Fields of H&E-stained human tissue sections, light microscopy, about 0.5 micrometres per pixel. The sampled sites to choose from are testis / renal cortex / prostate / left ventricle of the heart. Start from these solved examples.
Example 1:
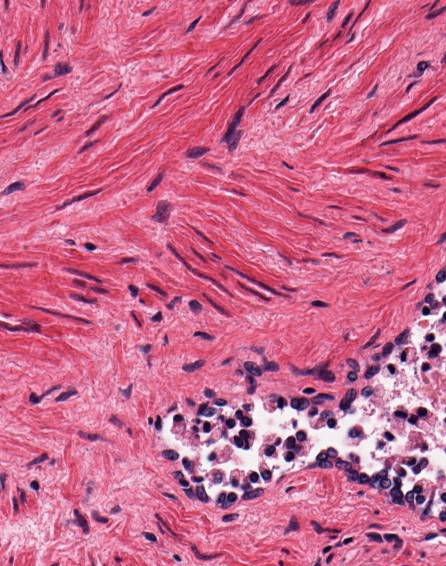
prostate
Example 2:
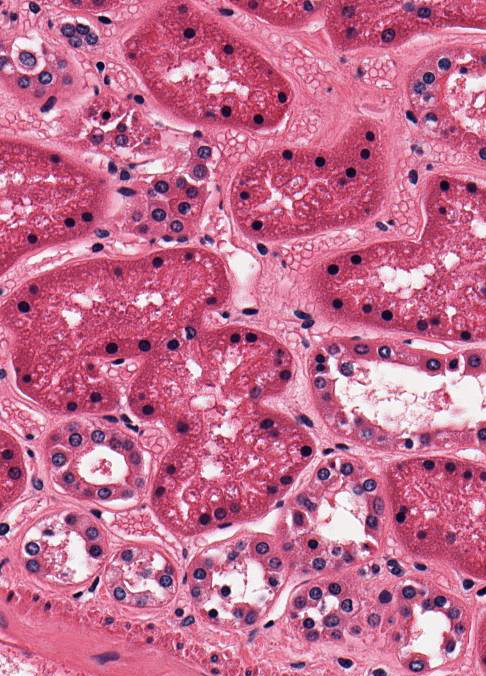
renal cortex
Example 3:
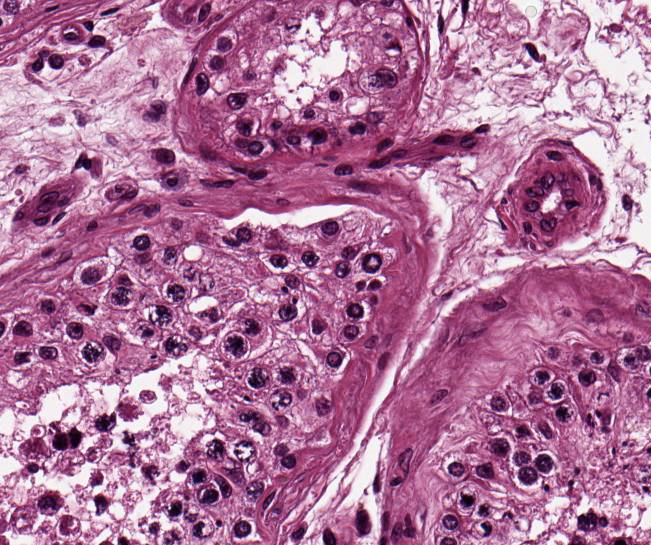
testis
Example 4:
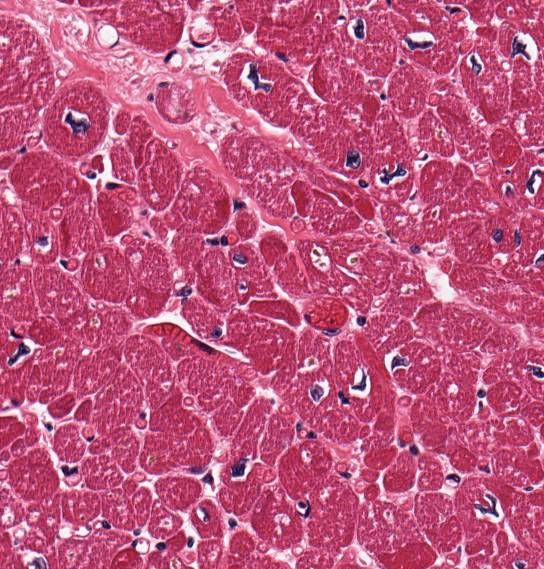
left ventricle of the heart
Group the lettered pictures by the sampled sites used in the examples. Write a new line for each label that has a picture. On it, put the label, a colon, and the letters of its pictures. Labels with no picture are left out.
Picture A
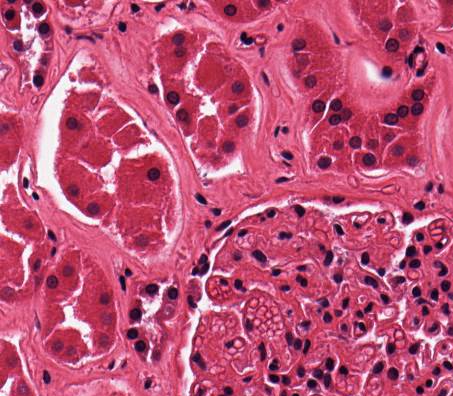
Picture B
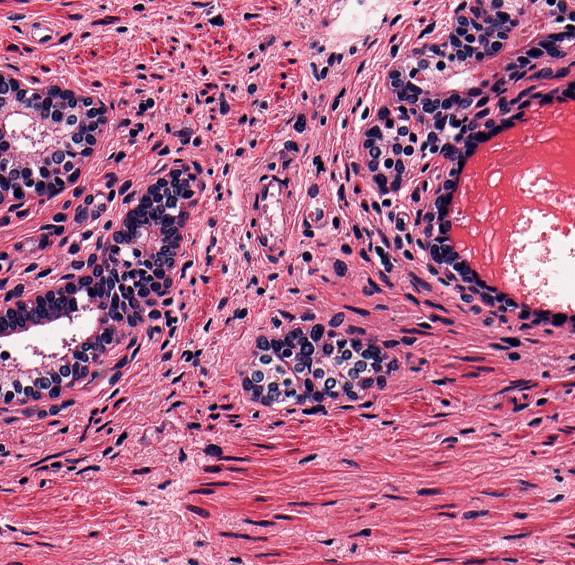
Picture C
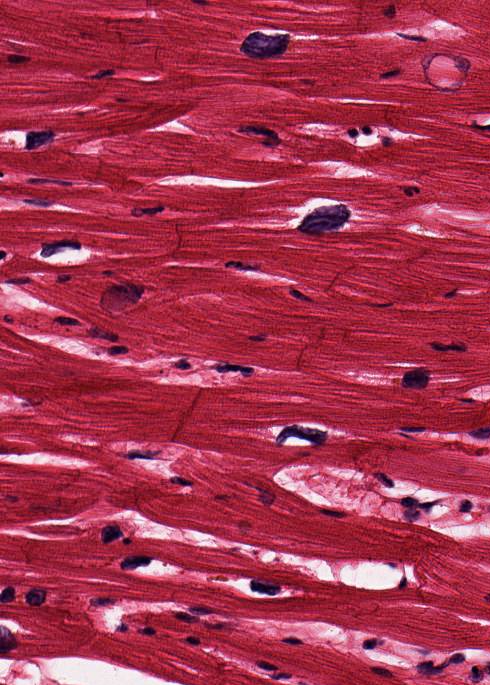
renal cortex: A
prostate: B
left ventricle of the heart: C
